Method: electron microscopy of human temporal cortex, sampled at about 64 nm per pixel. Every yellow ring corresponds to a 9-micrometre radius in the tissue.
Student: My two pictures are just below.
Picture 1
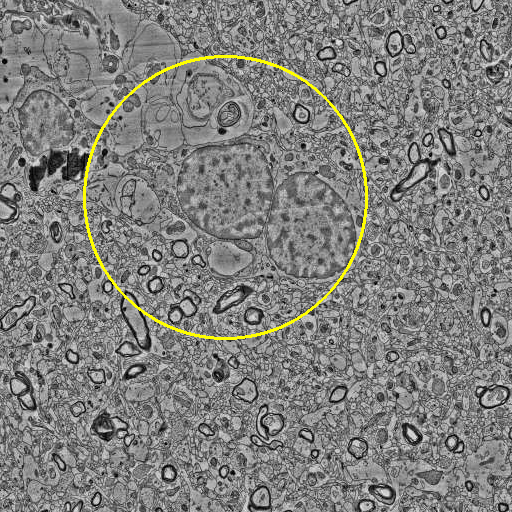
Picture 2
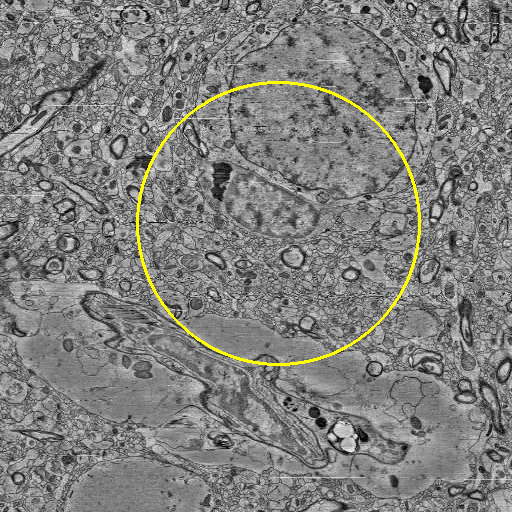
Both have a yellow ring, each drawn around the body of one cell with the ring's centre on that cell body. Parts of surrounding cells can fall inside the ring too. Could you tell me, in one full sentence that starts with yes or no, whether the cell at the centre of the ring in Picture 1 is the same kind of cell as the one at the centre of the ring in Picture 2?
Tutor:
Yes, the two cells are of the same kind.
